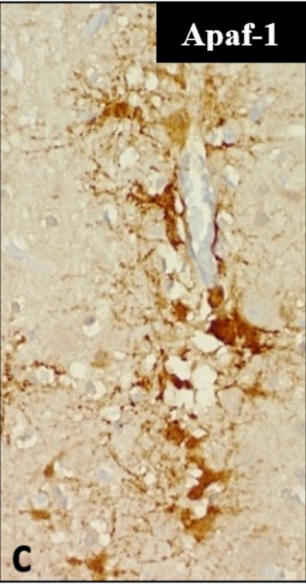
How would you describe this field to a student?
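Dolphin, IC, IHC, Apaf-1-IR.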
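A longitudinally cut vessel runs through pale brain tissue. Brown-stained cell bodies lie along and near the vessel, and from them many thin, branching processes radiate out into the surrounding tissue.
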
